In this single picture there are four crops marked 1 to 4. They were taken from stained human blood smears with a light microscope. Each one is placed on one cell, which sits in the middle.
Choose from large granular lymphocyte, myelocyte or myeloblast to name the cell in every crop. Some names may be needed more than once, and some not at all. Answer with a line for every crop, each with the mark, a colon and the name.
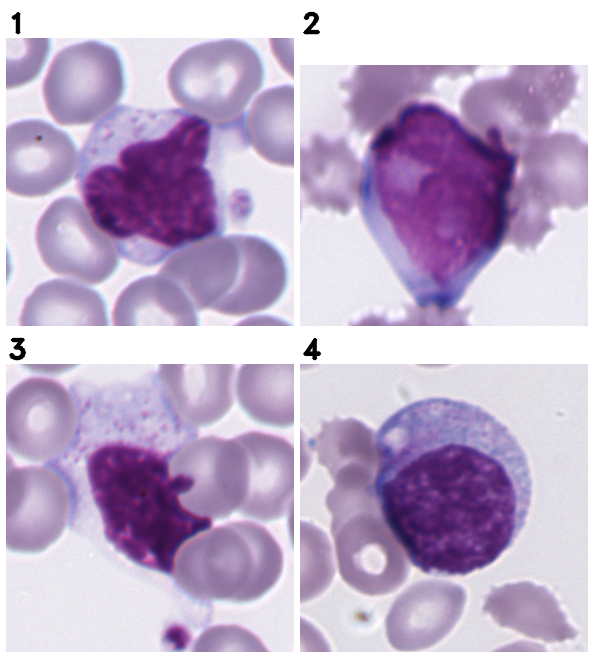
1: large granular lymphocyte
2: myeloblast
3: large granular lymphocyte
4: myelocyte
